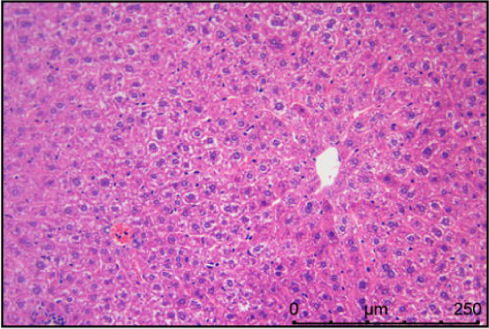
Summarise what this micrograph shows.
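The hepatocytes are large polygonal cells with abundant pink, finely granular cytoplasm and round, centrally placed purple nuclei, some cells appearing to hold two nuclei. They are arranged in plates or cords that run toward a small clear vessel lumen near the middle of the field, and narrow pale spaces between the cords mark the sinusoids. Small, darker, elongated nuclei along these spaces belong to lining cells.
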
